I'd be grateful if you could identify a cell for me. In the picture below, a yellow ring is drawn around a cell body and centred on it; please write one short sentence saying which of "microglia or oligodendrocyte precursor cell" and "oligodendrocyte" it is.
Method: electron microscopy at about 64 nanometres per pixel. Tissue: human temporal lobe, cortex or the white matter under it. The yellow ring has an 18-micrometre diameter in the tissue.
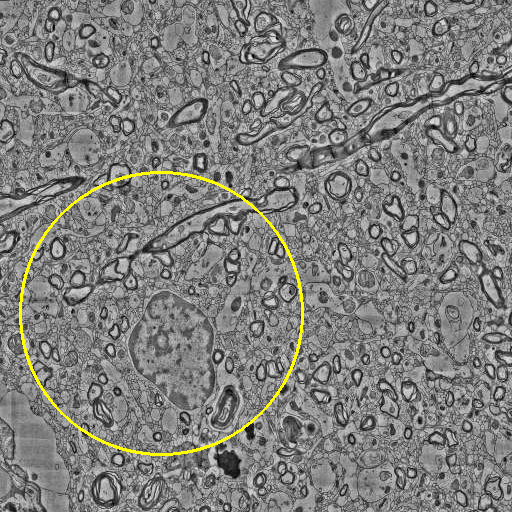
The cell under the ring's centre is a microglial cell or oligodendrocyte precursor cell.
